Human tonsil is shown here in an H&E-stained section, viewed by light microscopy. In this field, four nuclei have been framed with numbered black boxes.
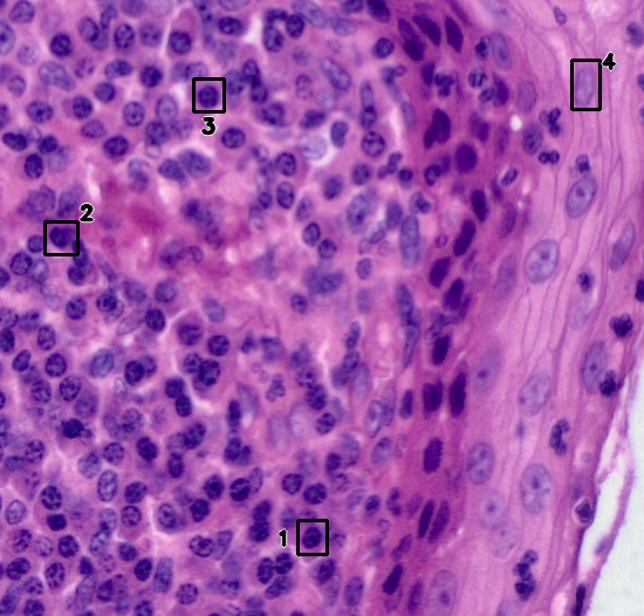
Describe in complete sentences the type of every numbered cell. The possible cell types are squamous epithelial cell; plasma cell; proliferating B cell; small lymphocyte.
Cell 1 is a plasma cell, cell 2 is a plasma cell, cell 3 is a plasma cell and cell 4 is a squamous epithelial cell.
